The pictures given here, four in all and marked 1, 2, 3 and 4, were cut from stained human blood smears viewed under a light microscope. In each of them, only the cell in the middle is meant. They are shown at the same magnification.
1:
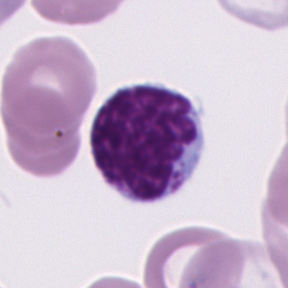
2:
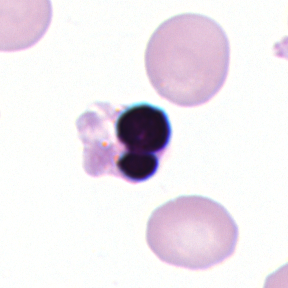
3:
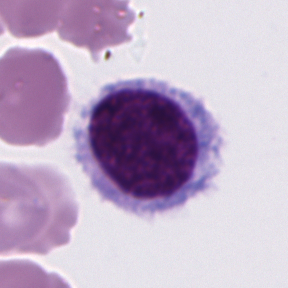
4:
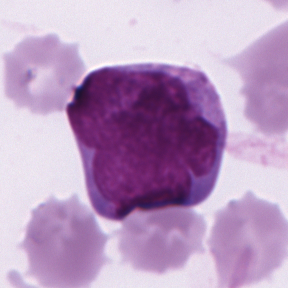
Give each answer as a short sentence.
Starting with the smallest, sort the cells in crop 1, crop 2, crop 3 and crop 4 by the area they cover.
The order is 2, 1, 3, 4, beginning with the smallest.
